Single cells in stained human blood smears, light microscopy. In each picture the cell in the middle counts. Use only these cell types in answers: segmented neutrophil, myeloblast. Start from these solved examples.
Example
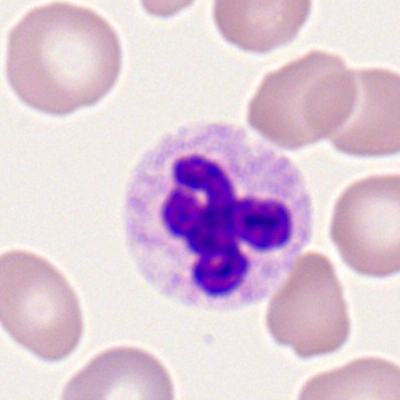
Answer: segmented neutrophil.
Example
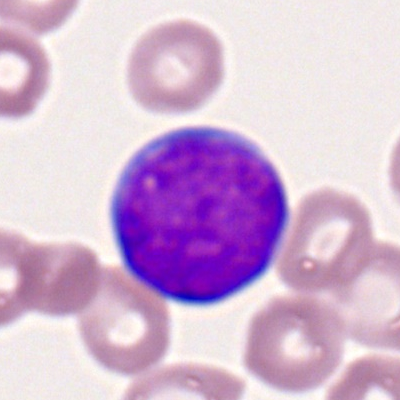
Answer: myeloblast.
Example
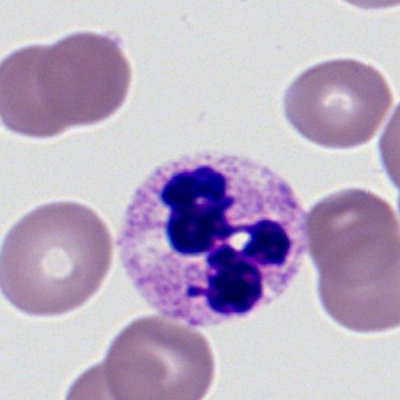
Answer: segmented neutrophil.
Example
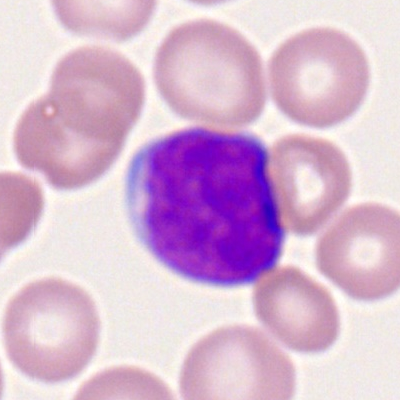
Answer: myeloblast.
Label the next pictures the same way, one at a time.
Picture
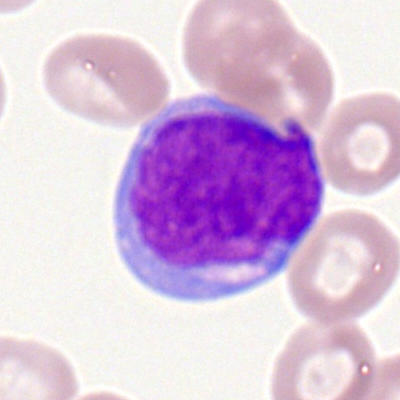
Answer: myeloblast.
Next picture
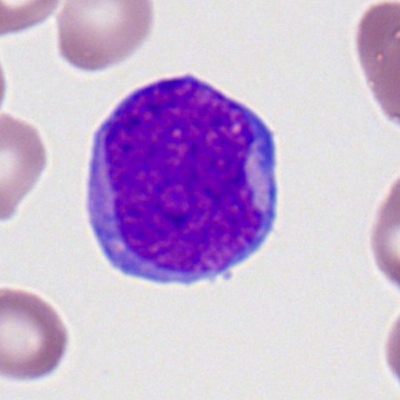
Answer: myeloblast.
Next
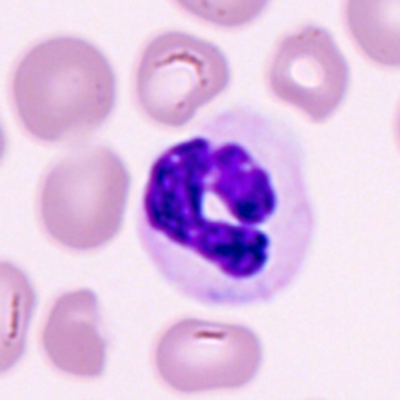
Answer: segmented neutrophil.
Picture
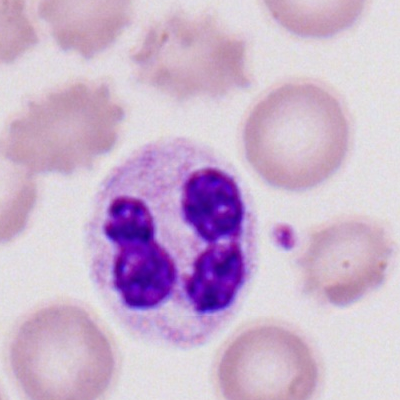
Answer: segmented neutrophil.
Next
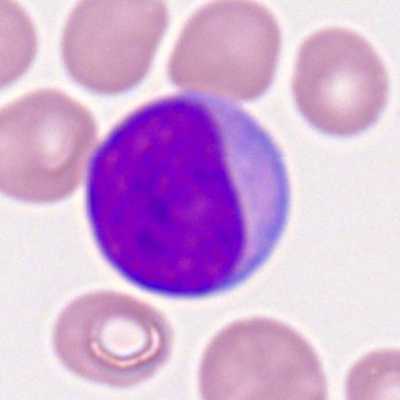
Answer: myeloblast.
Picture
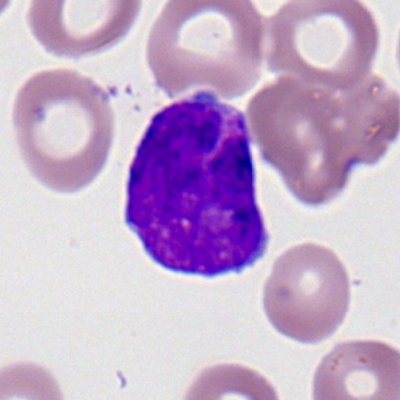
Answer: myeloblast.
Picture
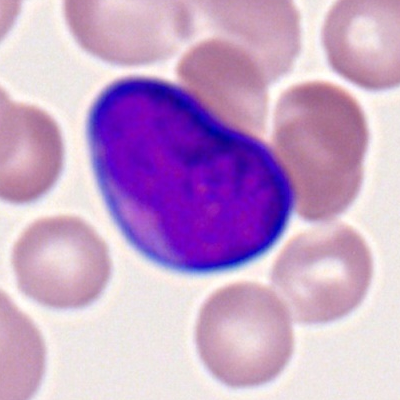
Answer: myeloblast.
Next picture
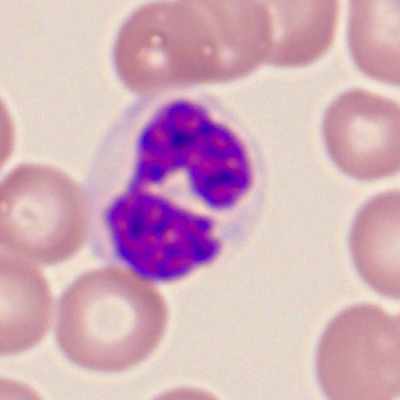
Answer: segmented neutrophil.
